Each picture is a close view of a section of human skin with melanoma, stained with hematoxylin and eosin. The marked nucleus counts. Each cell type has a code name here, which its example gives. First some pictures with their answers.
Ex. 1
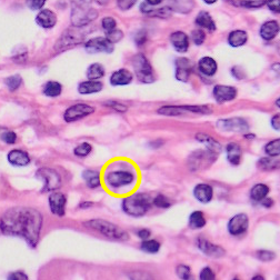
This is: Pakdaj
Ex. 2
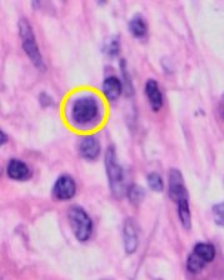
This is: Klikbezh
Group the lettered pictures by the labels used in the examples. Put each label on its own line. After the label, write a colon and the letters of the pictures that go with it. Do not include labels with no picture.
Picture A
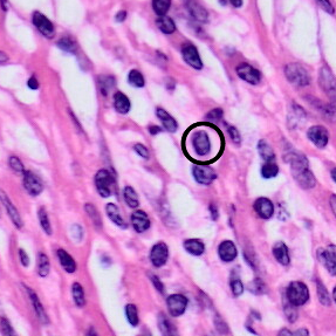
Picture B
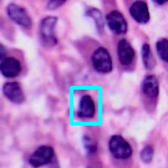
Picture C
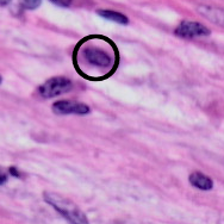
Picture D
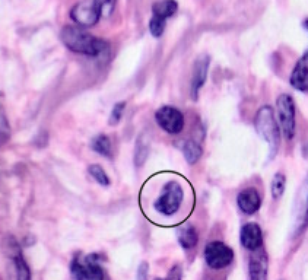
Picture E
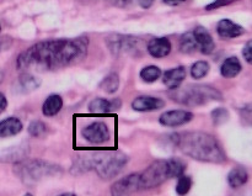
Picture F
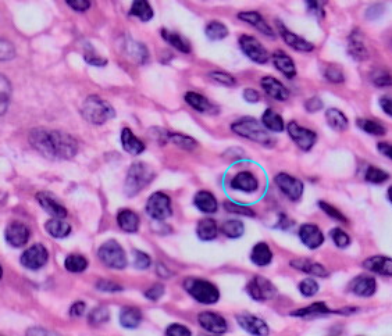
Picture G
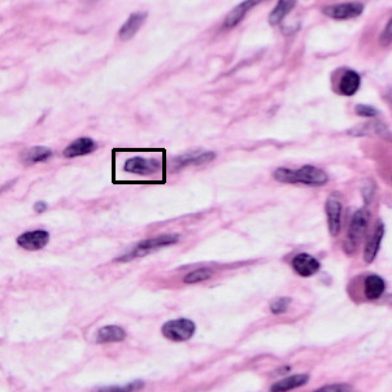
Pakdaj: A, D, E, F, G
Klikbezh: B, C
